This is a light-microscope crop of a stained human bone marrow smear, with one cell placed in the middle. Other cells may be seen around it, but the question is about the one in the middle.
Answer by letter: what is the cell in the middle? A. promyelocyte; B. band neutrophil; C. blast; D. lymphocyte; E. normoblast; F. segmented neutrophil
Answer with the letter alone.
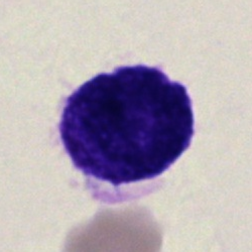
C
